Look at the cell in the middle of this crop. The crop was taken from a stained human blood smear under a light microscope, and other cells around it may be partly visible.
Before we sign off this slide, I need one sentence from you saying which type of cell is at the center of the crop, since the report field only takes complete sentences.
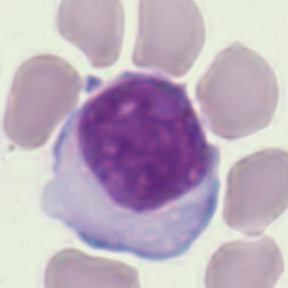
On this slide crop, the central cell is a plasma cell.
